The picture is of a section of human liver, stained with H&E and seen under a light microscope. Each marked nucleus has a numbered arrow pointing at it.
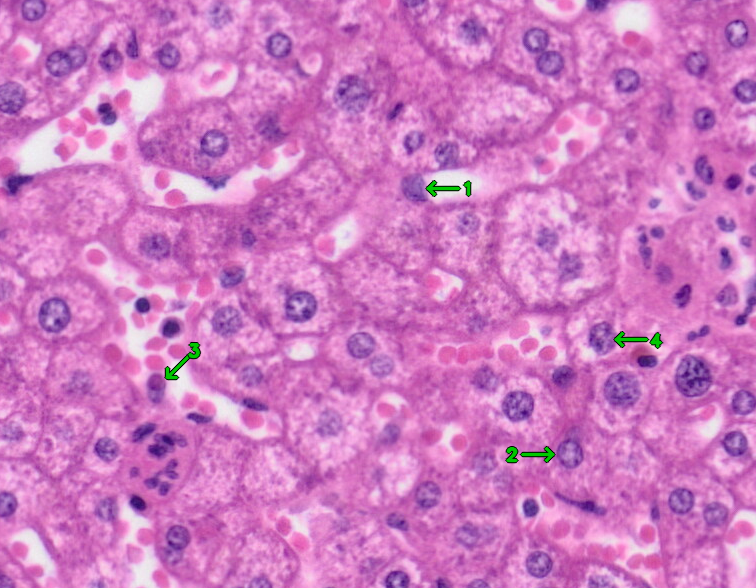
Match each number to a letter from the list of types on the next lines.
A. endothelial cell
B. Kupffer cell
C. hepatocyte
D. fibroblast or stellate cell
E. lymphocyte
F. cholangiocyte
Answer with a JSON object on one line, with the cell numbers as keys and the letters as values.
{"1": "A", "2": "C", "3": "B", "4": "C"}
